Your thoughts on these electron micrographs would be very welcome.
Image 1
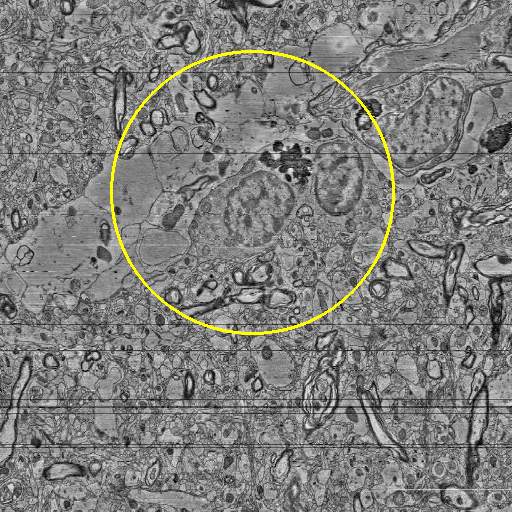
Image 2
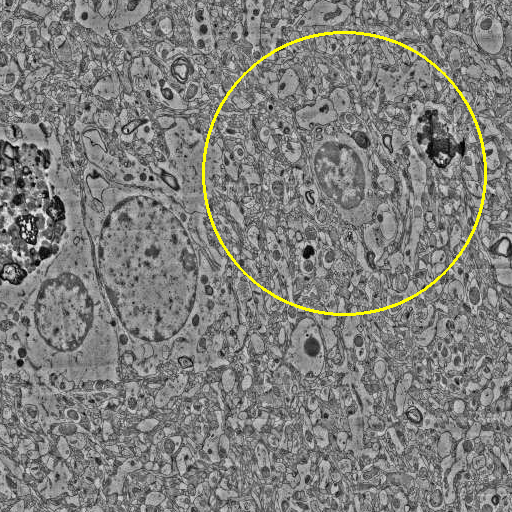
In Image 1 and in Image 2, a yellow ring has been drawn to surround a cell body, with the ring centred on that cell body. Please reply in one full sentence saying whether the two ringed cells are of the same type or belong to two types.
The ringed cells in Image 1 and Image 2 are of the same type.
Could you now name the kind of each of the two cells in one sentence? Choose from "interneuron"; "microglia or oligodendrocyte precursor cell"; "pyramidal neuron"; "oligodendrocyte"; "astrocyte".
The ring centre holds an oligodendrocyte in each of the two pictures.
